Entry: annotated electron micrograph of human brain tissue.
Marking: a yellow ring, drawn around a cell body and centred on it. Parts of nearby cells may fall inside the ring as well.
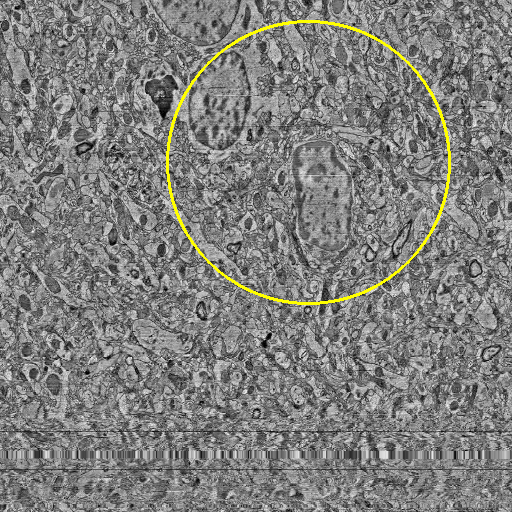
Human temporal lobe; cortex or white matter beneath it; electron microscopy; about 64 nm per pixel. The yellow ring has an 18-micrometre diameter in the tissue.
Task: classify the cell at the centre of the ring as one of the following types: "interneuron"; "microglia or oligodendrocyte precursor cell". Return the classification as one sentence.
The marked cell is classified as a microglial cell or oligodendrocyte precursor cell.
